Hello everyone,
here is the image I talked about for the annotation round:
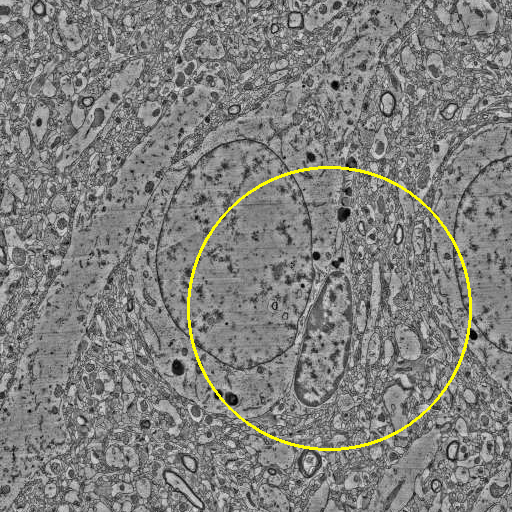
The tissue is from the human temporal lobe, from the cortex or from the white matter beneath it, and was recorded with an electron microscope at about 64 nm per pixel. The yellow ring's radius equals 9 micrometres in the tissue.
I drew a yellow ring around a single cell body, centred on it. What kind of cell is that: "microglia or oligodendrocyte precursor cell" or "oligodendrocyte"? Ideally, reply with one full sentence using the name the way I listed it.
The cell your yellow ring is centred on is a microglial cell or oligodendrocyte precursor cell, going by your list.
